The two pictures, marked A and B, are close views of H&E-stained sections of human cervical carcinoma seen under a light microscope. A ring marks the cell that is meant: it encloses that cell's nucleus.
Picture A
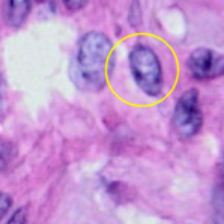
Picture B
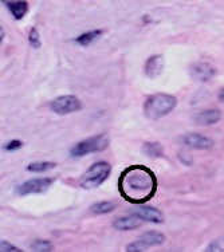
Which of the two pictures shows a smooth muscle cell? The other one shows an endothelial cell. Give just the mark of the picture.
B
